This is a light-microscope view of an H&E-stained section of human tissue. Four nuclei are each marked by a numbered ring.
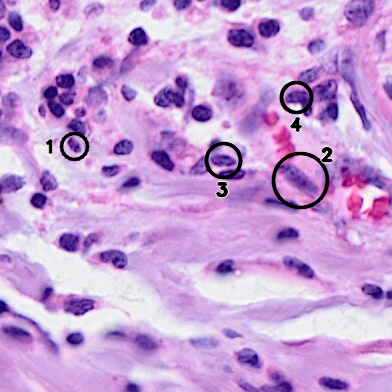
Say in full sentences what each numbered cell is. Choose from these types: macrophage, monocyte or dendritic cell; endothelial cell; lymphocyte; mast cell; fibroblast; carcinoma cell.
Cells 1, 3 and 4 are lymphocytes. Cell 2 is an endothelial cell.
